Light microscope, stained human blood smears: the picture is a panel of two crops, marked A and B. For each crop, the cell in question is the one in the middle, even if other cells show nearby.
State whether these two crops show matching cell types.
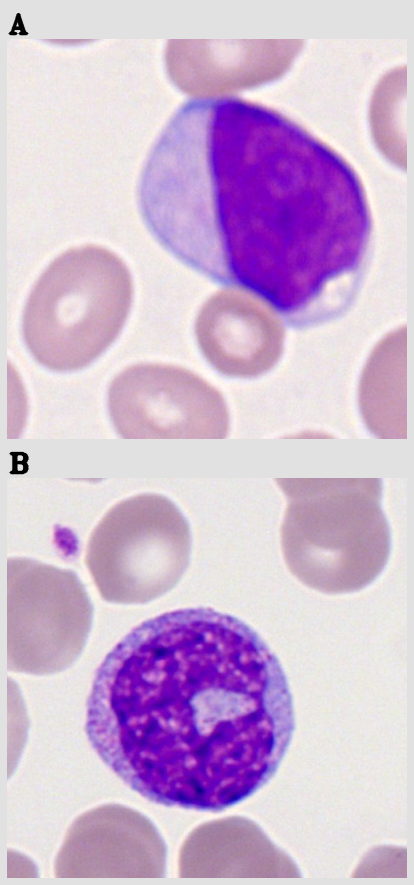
no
